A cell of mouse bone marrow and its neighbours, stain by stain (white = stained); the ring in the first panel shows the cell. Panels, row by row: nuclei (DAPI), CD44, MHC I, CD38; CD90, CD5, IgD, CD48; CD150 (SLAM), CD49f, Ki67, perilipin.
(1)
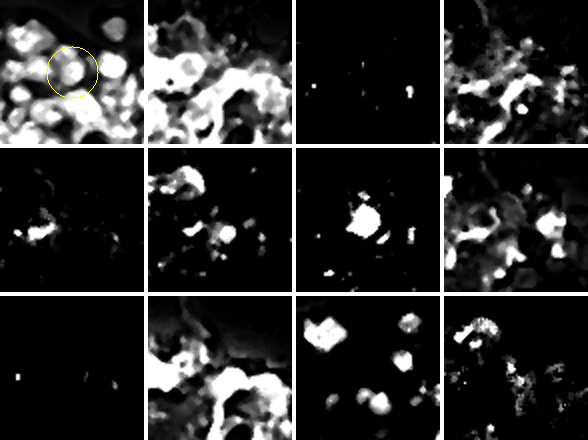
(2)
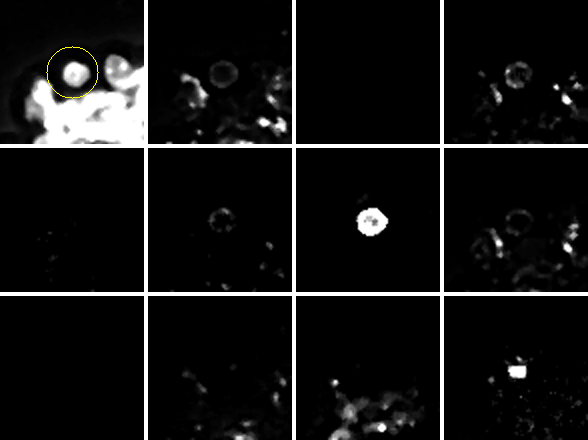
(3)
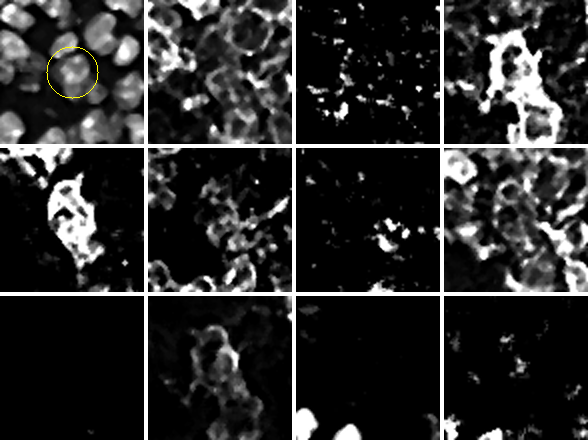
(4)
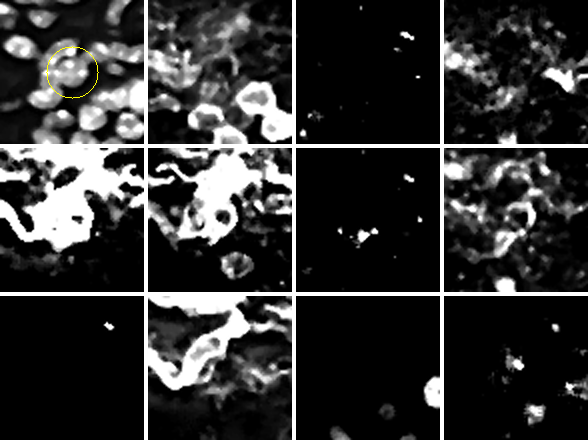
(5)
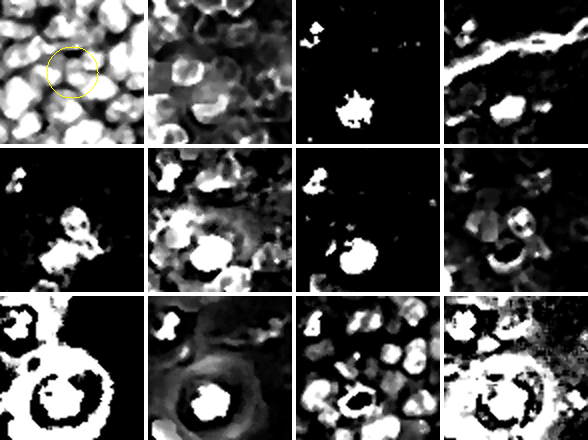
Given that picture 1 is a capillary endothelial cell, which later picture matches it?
3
